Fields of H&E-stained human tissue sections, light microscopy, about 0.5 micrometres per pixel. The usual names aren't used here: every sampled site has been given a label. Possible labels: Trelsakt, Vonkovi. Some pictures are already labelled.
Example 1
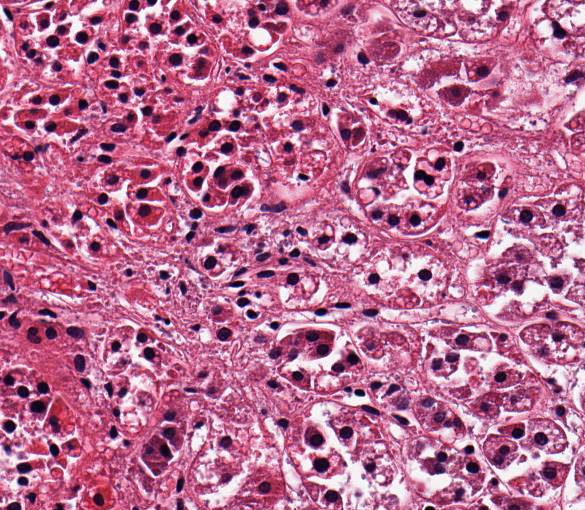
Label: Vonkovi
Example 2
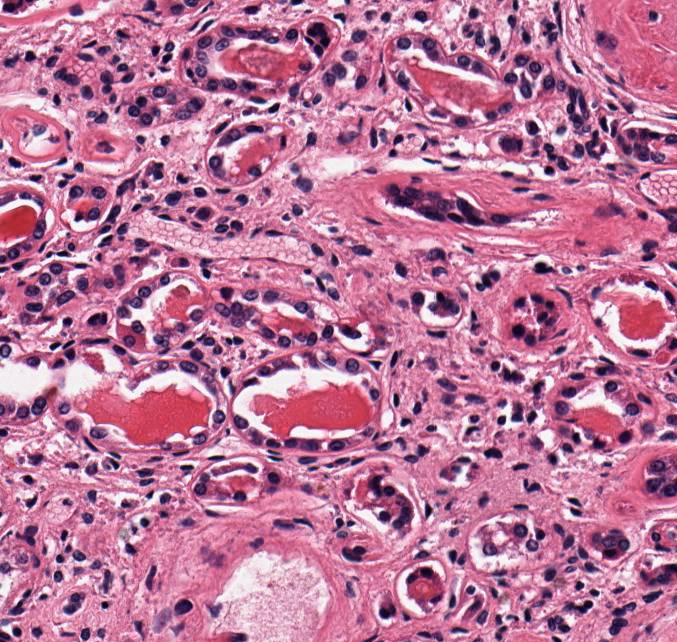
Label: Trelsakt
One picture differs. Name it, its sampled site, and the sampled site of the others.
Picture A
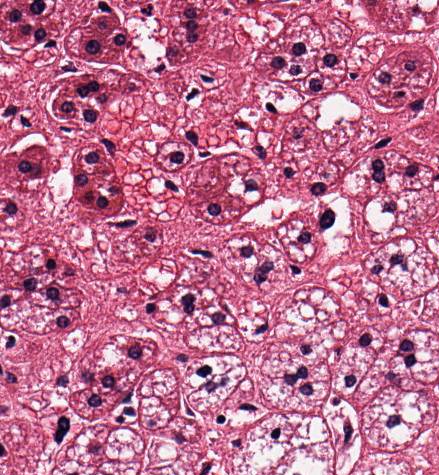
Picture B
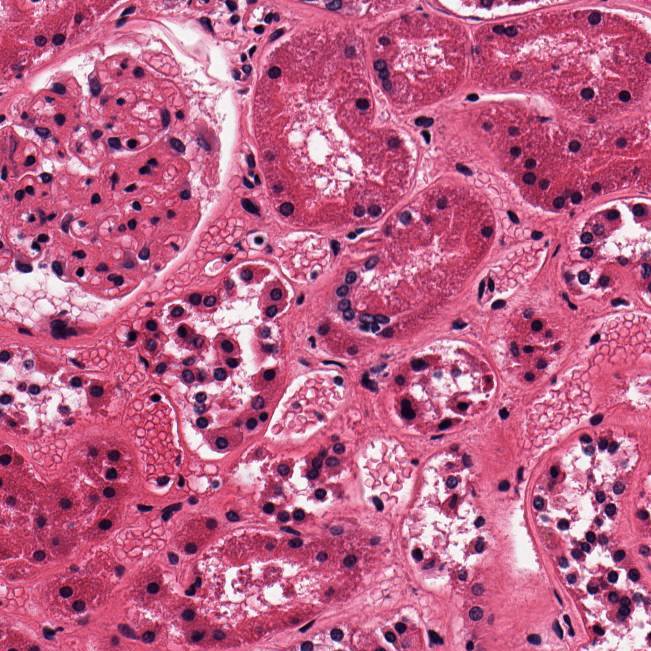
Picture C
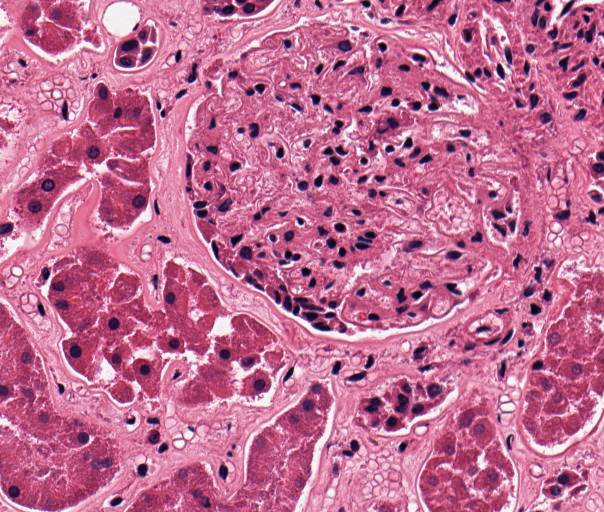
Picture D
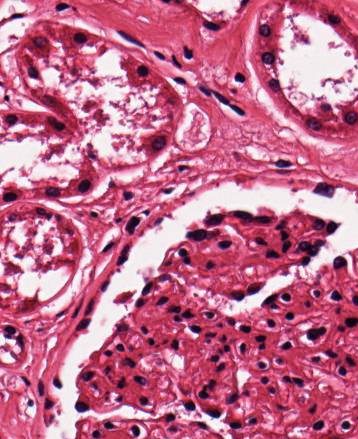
Exception: A, showing Vonkovi. Remaining pictures: Trelsakt.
